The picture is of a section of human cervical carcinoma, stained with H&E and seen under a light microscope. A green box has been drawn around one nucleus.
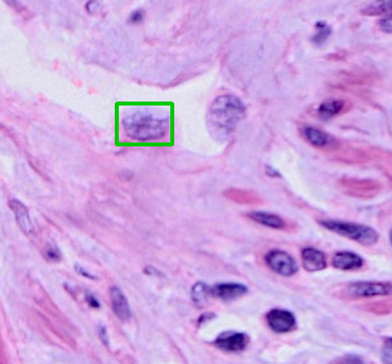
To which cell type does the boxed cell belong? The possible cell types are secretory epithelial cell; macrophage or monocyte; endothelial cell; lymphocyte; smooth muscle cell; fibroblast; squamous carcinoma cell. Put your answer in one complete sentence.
In short, the boxed cell on this section is an endothelial cell.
